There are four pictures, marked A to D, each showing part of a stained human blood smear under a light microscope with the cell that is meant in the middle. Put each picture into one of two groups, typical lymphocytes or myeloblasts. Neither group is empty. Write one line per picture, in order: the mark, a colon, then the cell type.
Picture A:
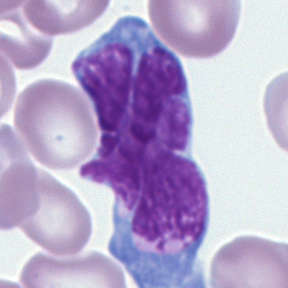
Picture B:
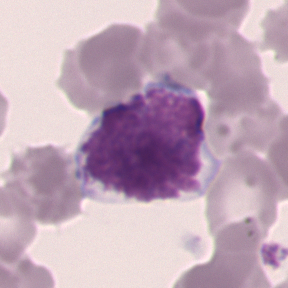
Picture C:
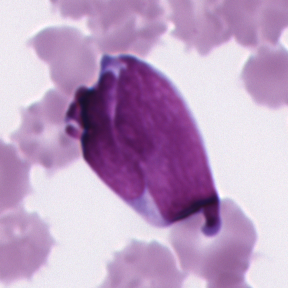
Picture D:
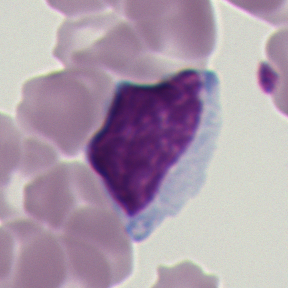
A: myeloblast
B: typical lymphocyte
C: myeloblast
D: typical lymphocyte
